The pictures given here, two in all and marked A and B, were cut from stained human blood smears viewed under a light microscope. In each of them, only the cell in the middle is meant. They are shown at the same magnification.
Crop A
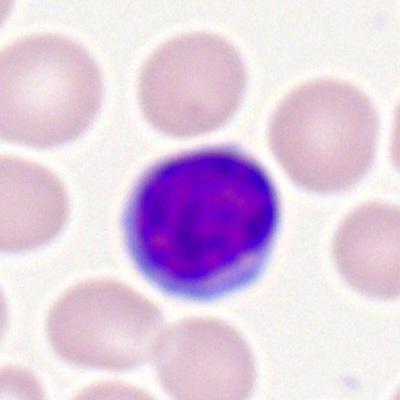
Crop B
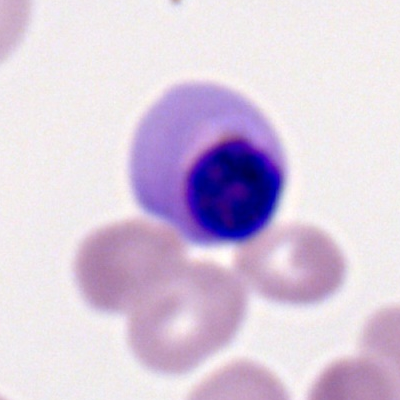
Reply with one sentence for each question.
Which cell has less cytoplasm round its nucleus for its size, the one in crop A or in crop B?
Of the two, the nucleus in crop A makes up the greater part of its cell.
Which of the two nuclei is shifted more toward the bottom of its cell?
It is the nucleus in crop B that lies further toward the bottom of its cell.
